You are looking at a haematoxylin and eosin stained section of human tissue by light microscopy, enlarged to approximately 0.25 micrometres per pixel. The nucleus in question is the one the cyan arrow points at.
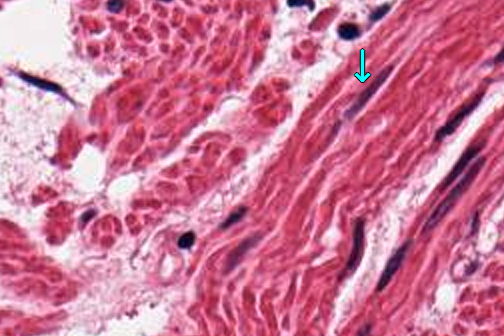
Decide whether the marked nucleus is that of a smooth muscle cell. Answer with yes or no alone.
yes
